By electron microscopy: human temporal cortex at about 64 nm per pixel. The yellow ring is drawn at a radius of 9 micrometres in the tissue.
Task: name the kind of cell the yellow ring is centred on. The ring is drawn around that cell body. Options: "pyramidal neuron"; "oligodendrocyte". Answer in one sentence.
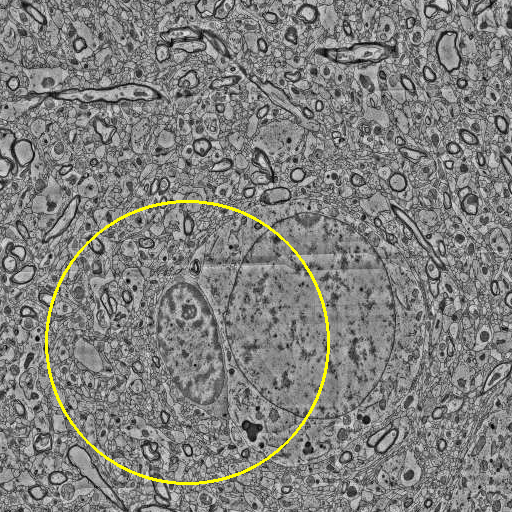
This cell body belongs to an oligodendrocyte.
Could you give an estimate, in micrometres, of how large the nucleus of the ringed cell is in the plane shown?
About 8 by 4 micrometres in this plane.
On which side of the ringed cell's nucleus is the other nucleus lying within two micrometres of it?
That nucleus lies to the upper right of it.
